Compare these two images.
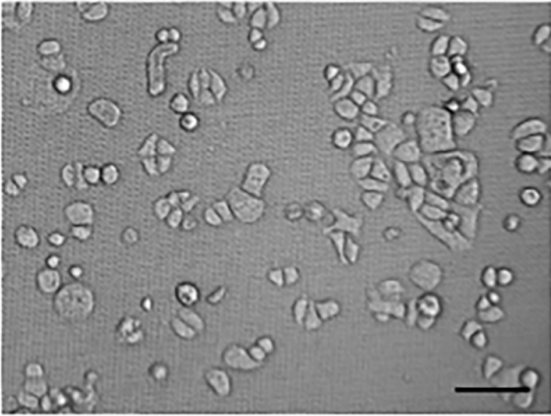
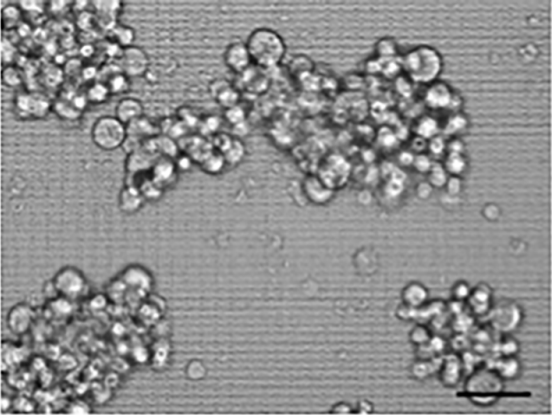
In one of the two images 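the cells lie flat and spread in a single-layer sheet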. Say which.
The first image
